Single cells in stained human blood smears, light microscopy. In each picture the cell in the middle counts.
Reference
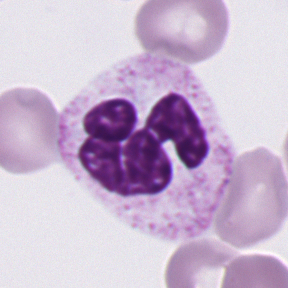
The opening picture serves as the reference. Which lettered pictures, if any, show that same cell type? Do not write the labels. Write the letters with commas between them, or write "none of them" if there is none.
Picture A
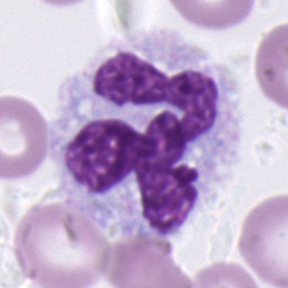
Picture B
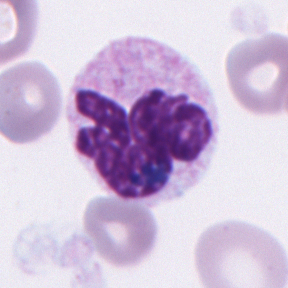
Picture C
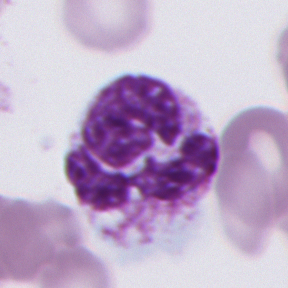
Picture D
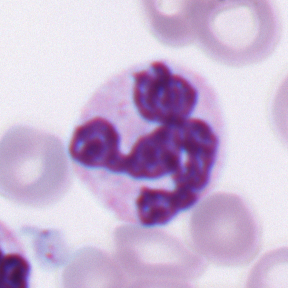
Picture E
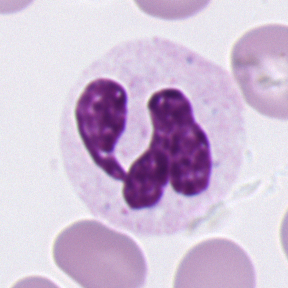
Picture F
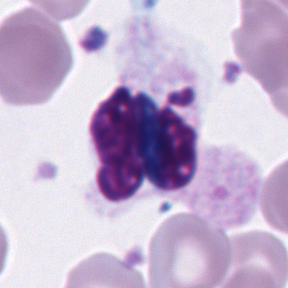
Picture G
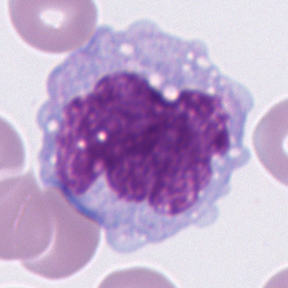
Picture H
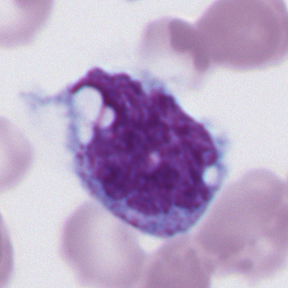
B, C, D, E, F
